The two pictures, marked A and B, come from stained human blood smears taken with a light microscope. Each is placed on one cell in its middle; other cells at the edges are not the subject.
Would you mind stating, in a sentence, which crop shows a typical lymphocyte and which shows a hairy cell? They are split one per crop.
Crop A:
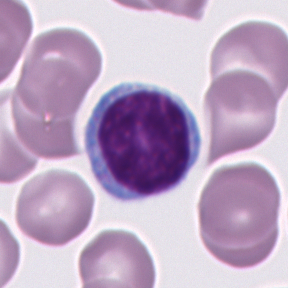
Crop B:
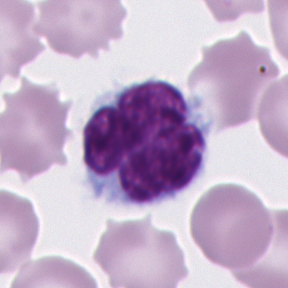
Crop A is to be read as a typical lymphocyte and crop B as a hairy cell.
